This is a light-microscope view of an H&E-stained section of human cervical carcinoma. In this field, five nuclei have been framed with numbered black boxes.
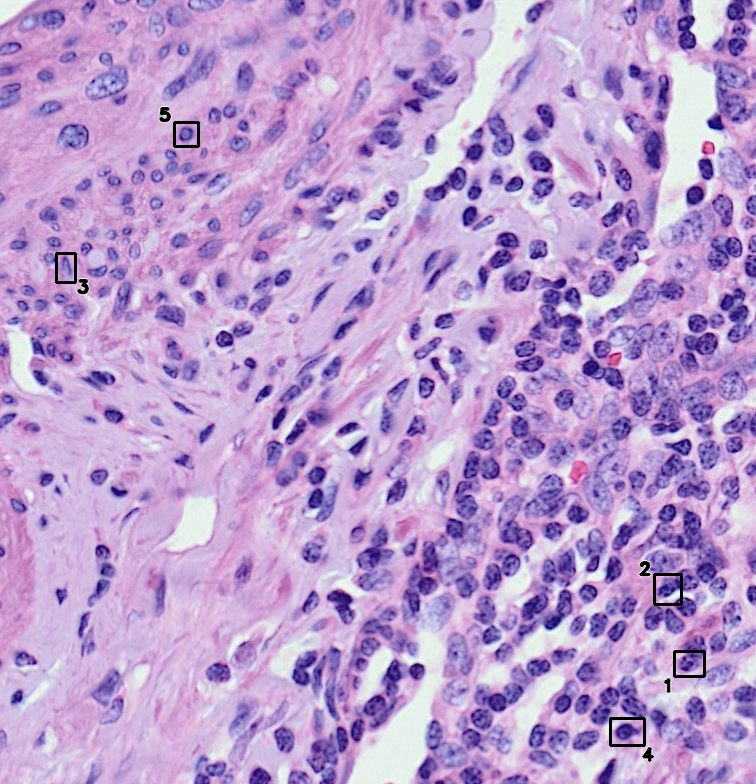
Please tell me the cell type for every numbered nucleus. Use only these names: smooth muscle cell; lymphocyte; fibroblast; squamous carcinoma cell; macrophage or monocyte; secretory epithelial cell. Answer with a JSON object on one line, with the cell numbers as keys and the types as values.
{"1": "lymphocyte", "2": "lymphocyte", "3": "smooth muscle cell", "4": "lymphocyte", "5": "smooth muscle cell"}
